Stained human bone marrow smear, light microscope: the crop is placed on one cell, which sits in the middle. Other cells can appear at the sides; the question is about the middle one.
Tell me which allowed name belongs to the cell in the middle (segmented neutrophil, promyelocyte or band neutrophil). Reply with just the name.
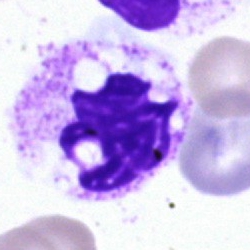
segmented neutrophil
